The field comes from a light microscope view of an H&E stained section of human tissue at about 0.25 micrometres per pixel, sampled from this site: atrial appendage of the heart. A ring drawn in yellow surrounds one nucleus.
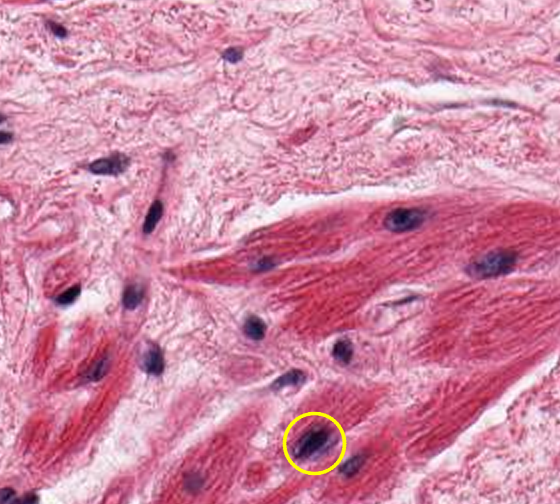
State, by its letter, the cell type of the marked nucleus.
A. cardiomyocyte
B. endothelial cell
A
